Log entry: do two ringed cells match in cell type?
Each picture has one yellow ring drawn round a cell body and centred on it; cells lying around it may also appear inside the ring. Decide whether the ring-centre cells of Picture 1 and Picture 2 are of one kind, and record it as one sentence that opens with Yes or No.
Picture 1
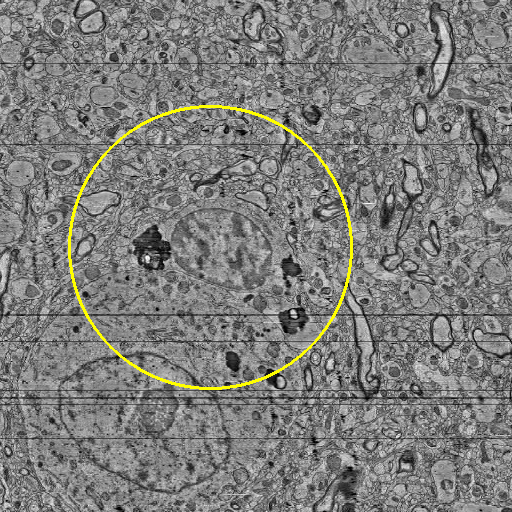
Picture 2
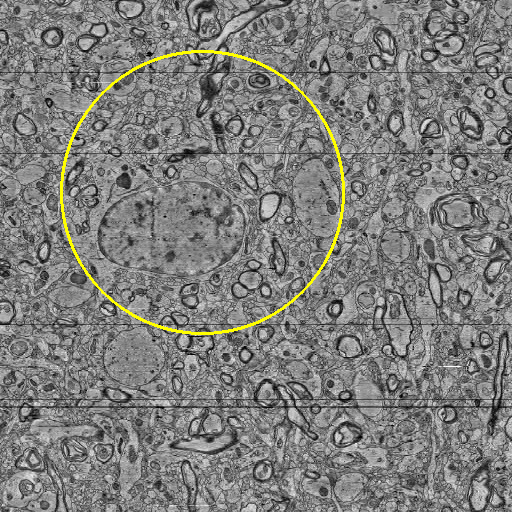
No, the cells at the ring centres of the two pictures belong to two kinds.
